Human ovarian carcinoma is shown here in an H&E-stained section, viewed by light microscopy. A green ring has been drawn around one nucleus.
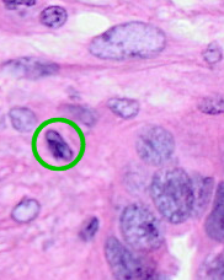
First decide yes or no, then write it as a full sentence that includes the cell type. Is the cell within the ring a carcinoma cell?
No, the cell within the ring is a lymphocyte; it is not a carcinoma cell.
